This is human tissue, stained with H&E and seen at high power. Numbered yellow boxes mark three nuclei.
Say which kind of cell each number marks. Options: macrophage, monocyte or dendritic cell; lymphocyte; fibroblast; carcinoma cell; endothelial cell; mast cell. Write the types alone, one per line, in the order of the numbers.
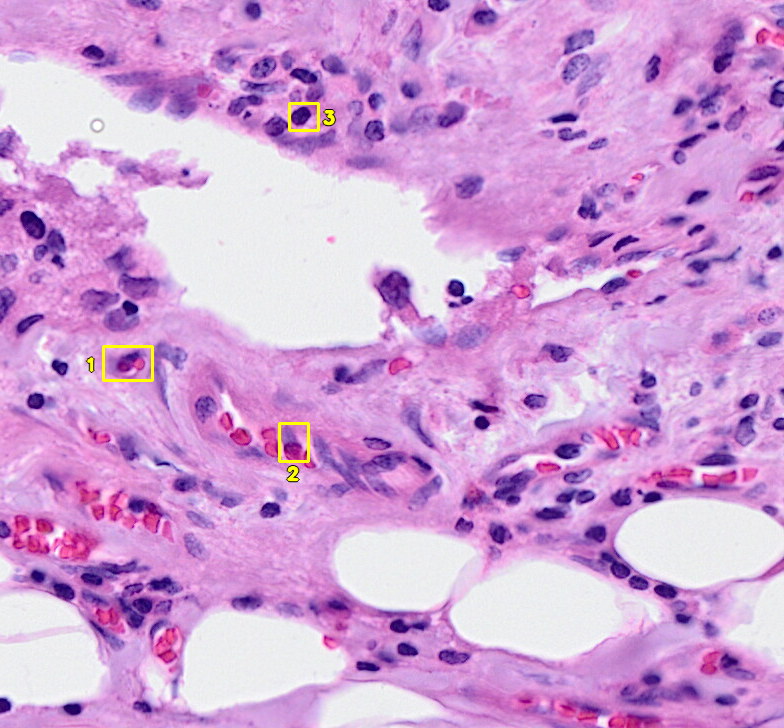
endothelial cell
endothelial cell
lymphocyte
